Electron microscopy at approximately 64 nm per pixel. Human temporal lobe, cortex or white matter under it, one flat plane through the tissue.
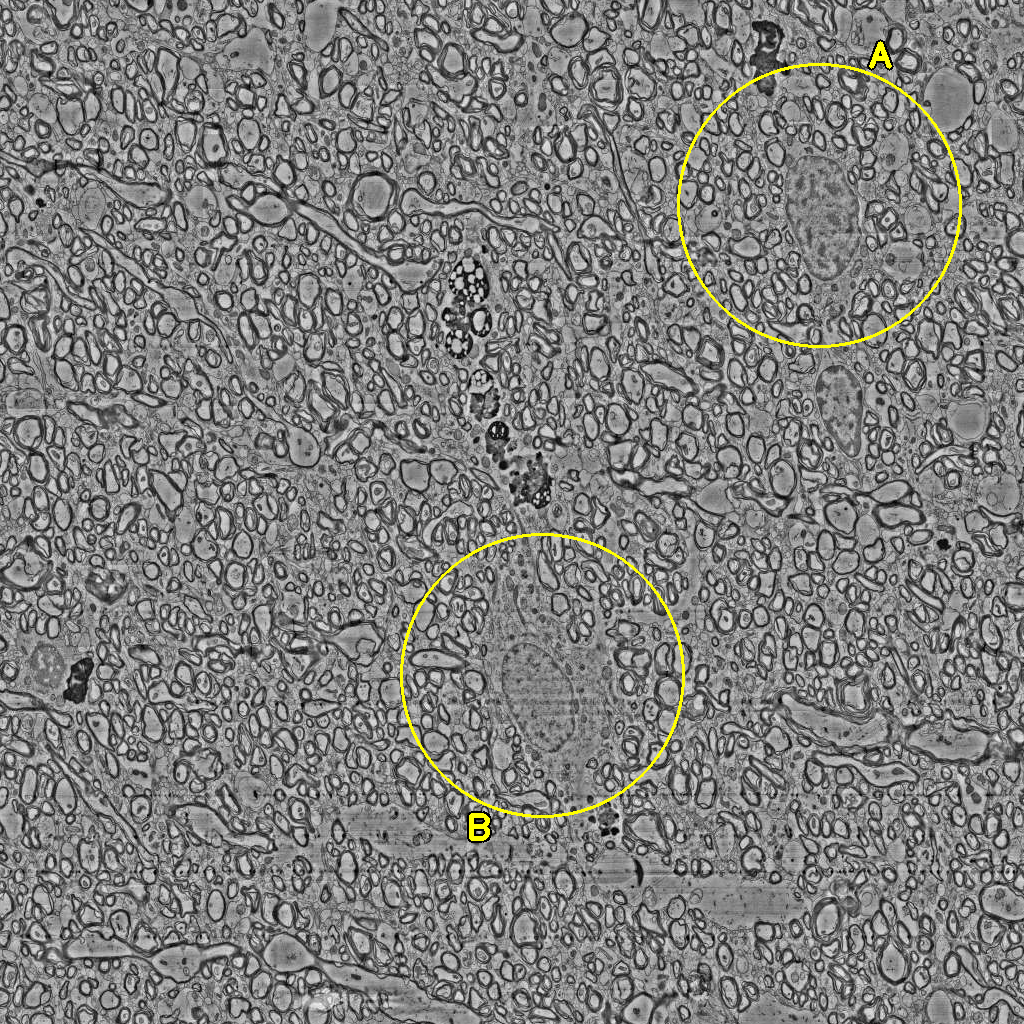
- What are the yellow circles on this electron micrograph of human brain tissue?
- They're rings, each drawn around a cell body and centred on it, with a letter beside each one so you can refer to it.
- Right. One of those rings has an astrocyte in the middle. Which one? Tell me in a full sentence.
It's ring B.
